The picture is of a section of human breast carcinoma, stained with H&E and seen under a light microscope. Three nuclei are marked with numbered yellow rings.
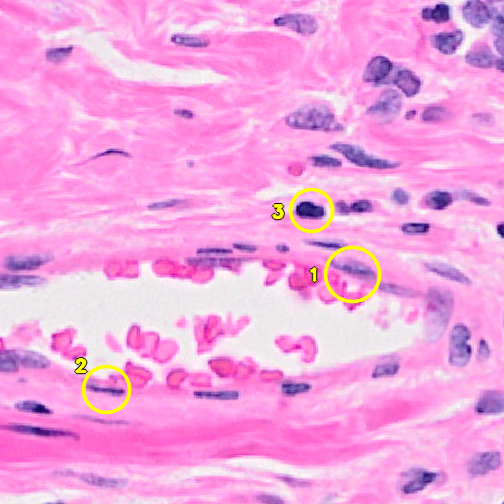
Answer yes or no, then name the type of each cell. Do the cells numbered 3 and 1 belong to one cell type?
No, cell 3 is a lymphocyte and cell 1 is an endothelial cell.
